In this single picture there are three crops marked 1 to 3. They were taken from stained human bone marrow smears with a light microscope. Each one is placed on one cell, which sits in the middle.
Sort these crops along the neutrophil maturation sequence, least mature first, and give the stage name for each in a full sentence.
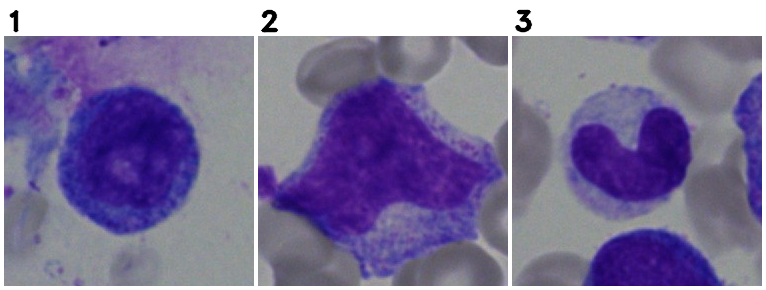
Maturity rises in the sequence crop 1 (a promyelocyte), crop 2 (a myelocyte) and crop 3 (a band neutrophil).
